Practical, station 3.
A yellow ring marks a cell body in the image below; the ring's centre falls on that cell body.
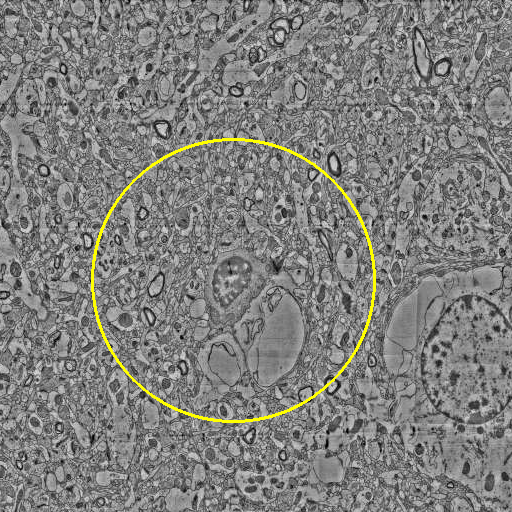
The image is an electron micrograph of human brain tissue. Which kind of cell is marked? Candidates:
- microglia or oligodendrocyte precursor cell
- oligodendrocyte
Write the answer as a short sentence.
The marked cell body is that of an oligodendrocyte.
